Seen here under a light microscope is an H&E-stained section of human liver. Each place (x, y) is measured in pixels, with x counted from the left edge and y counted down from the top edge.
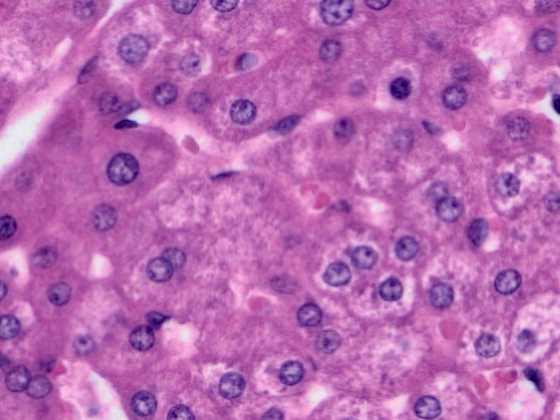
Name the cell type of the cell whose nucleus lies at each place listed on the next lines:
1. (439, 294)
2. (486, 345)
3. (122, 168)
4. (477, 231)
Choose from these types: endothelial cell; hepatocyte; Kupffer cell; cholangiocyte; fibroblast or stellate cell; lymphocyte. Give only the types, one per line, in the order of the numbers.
hepatocyte
hepatocyte
hepatocyte
endothelial cell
